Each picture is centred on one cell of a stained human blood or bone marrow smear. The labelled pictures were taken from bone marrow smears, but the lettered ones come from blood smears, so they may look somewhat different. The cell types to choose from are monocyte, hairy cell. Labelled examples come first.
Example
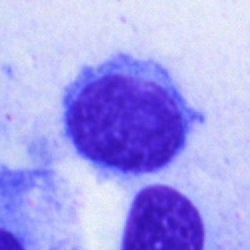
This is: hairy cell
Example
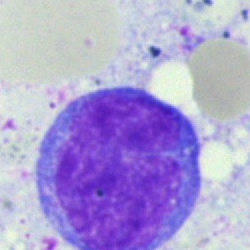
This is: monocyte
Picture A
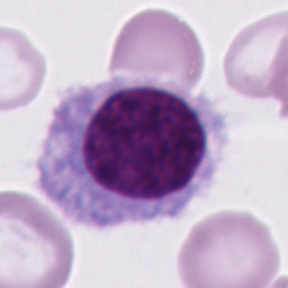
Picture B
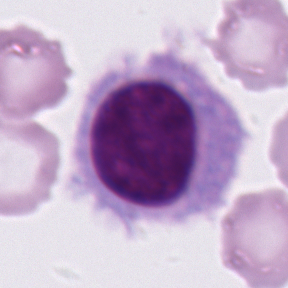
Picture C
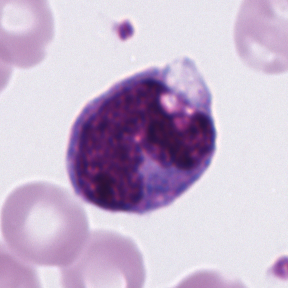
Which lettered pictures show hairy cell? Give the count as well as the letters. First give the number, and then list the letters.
2, namely A, B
